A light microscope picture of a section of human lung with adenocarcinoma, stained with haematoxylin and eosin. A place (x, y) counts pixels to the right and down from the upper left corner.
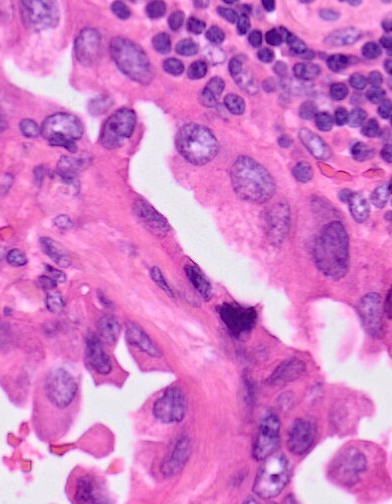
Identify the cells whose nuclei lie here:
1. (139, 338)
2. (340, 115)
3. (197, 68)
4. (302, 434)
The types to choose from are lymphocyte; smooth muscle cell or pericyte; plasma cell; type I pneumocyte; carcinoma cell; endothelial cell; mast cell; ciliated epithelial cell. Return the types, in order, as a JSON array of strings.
["carcinoma cell", "lymphocyte", "lymphocyte", "carcinoma cell"]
